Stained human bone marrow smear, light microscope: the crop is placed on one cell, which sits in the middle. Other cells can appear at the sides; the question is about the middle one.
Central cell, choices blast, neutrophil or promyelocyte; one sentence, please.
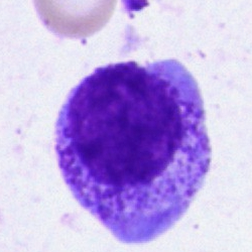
The cell found in the middle of this crop is a promyelocyte.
